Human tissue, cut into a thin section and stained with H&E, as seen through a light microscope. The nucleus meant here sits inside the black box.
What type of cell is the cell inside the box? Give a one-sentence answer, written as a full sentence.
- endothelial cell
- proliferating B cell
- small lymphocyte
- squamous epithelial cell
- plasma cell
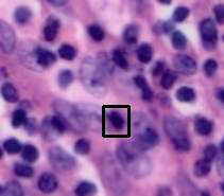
In short, the cell inside the box on this section is an endothelial cell.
